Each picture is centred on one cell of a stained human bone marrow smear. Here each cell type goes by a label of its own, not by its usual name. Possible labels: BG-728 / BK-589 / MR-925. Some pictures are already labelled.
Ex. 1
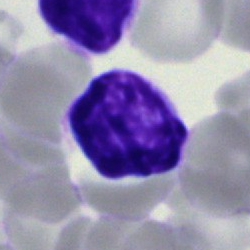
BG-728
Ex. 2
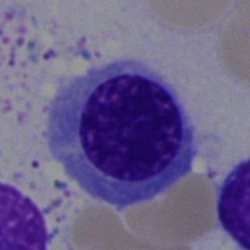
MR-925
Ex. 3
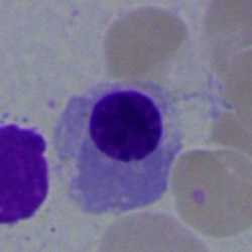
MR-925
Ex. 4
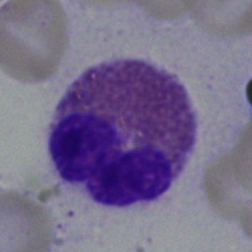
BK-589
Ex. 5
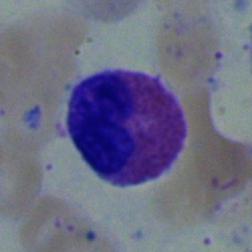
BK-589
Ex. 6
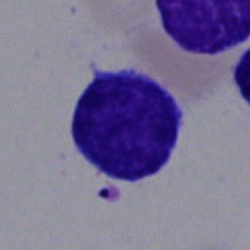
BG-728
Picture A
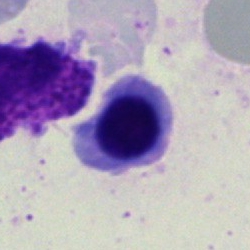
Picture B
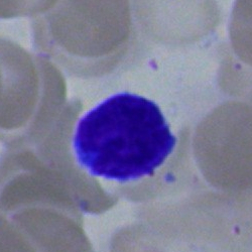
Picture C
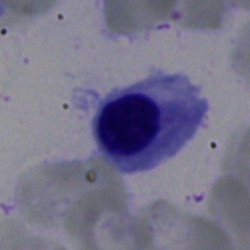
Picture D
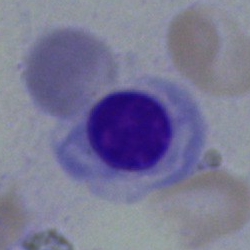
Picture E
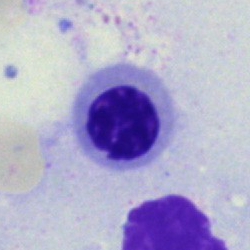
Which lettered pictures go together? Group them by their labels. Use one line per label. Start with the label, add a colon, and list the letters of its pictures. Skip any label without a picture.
BG-728: B
MR-925: A, C, D, E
